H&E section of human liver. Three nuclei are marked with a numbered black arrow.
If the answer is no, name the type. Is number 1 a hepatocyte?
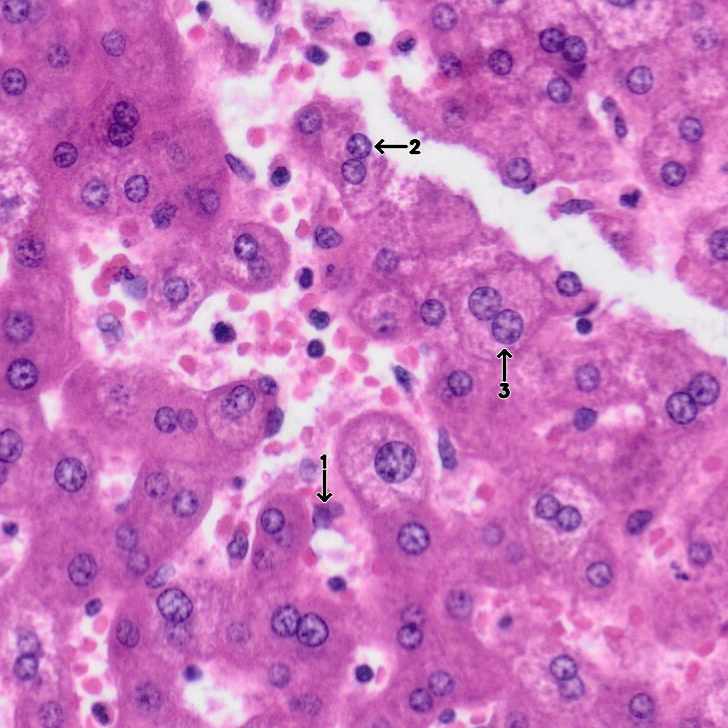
No, it is an endothelial cell.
